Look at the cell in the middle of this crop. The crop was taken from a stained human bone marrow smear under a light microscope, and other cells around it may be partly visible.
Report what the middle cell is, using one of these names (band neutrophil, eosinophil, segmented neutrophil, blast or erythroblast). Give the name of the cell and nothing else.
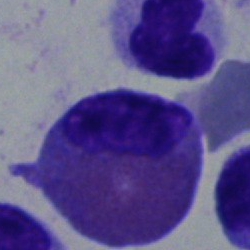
eosinophil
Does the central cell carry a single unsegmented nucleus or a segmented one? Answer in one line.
The nucleus is one compact mass, round, oval or kidney-shaped in outline.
